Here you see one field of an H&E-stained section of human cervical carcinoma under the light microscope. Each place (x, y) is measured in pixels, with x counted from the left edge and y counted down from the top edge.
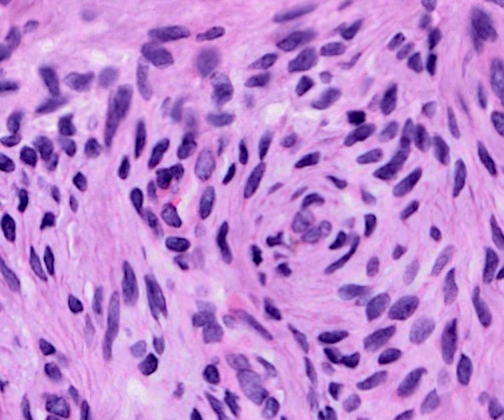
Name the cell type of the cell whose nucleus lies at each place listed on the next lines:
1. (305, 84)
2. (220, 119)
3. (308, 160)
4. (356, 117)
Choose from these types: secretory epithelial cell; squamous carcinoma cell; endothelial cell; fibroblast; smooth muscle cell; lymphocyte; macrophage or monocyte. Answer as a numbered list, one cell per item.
1. fibroblast
2. fibroblast
3. fibroblast
4. lymphocyte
